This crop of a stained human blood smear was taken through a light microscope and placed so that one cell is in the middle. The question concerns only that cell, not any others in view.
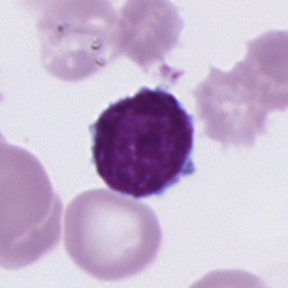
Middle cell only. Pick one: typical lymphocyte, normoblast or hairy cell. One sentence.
The centrally positioned cell in the crop represents a typical lymphocyte.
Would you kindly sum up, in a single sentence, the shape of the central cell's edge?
Around its circumference, the cell has an uneven edge, ragged or projecting in places.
